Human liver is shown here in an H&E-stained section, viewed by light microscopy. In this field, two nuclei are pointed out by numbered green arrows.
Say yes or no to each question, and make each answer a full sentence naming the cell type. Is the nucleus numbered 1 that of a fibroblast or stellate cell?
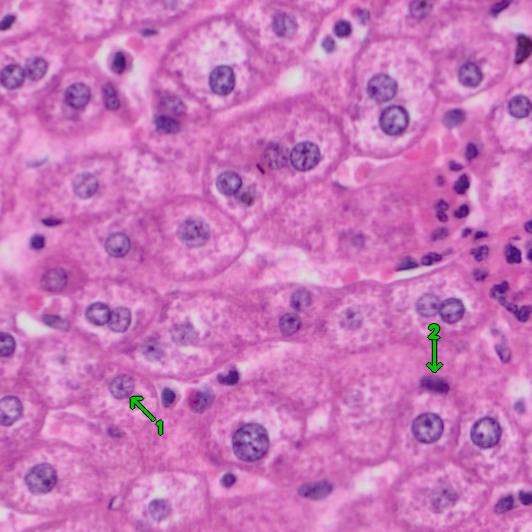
No, number 1 is not a fibroblast or stellate cell but a hepatocyte.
